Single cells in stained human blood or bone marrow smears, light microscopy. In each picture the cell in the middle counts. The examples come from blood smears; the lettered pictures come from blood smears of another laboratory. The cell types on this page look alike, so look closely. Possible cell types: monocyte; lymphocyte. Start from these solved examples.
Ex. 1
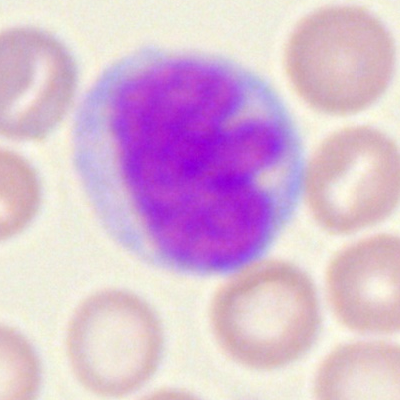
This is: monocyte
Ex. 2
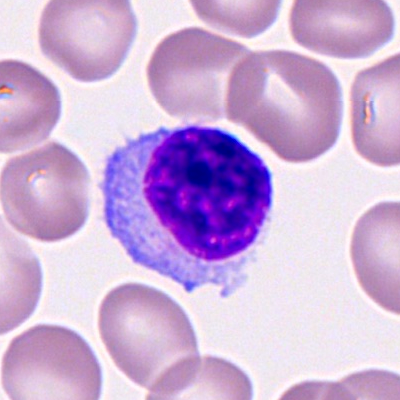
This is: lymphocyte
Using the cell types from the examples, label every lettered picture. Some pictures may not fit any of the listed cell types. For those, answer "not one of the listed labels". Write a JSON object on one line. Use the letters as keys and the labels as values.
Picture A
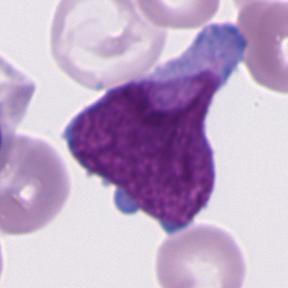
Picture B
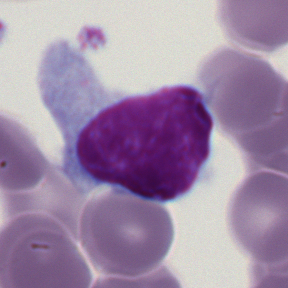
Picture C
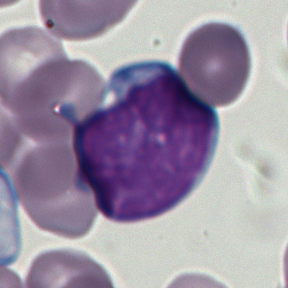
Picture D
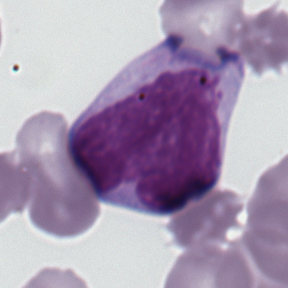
{"A": "not one of the listed labels", "B": "lymphocyte", "C": "not one of the listed labels", "D": "not one of the listed labels"}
